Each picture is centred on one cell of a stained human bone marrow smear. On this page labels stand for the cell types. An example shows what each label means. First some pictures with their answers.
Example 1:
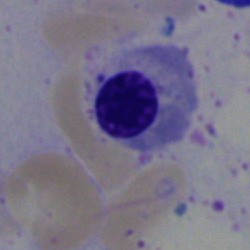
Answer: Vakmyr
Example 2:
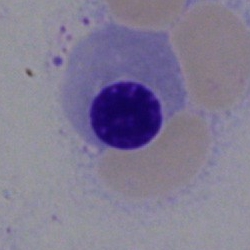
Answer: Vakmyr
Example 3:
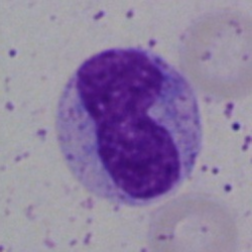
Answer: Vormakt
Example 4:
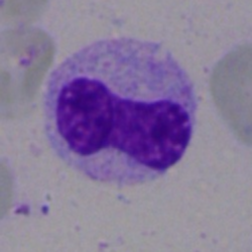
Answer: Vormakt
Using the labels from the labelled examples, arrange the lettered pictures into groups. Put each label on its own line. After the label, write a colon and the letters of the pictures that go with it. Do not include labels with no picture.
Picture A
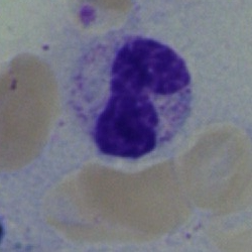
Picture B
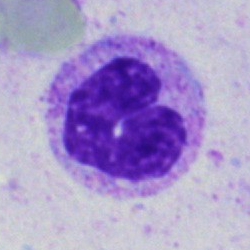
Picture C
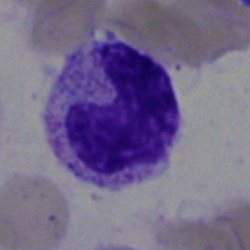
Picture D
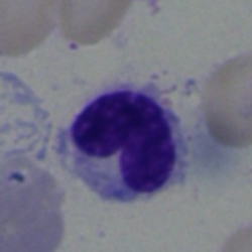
Vormakt: A, B, C, D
